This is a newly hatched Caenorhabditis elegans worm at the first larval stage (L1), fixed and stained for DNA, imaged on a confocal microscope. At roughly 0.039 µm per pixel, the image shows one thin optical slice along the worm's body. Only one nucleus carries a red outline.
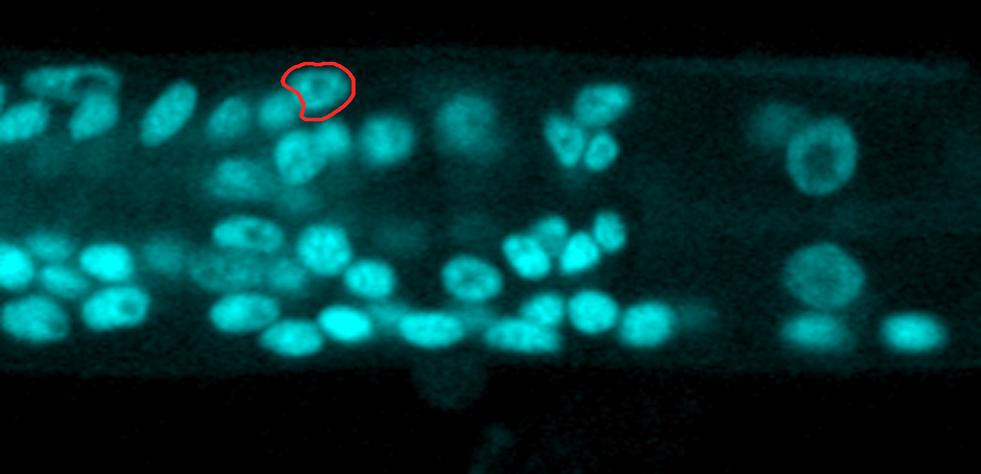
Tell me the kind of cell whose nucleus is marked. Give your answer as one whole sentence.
It is the nucleus of a body wall muscle cell.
